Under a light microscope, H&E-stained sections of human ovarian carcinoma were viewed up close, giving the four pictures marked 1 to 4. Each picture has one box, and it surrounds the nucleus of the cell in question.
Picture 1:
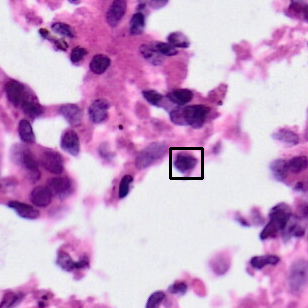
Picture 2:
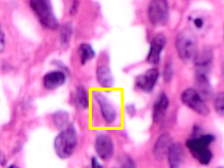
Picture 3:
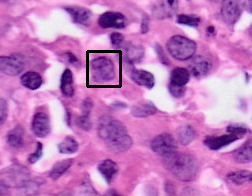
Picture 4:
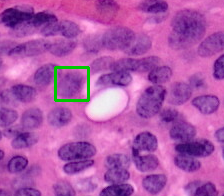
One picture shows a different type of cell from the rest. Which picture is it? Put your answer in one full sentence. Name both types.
All pictures except 4 show “macrophages or monocytes”; picture 4 shows a carcinoma cell.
